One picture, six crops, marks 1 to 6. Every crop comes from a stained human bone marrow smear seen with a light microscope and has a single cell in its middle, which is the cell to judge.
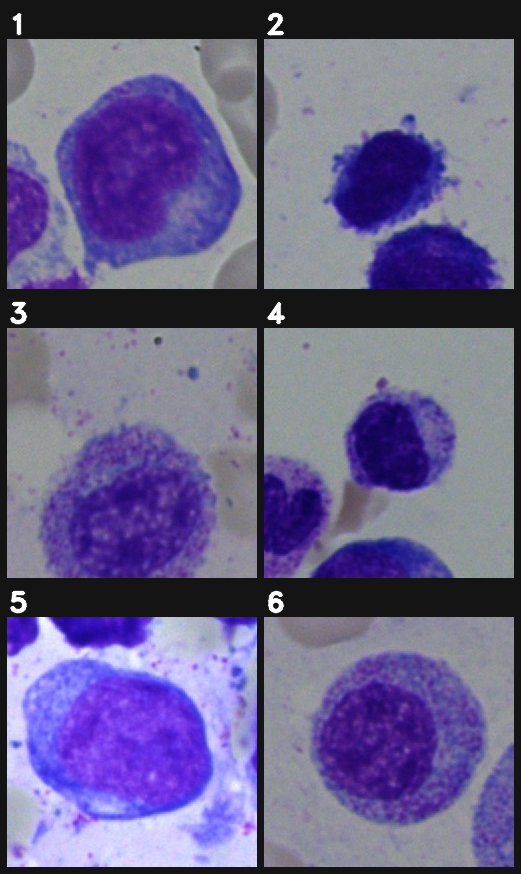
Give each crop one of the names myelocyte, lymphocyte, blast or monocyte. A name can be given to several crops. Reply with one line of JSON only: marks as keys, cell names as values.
{"1": "blast", "2": "lymphocyte", "3": "myelocyte", "4": "lymphocyte", "5": "blast", "6": "myelocyte"}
